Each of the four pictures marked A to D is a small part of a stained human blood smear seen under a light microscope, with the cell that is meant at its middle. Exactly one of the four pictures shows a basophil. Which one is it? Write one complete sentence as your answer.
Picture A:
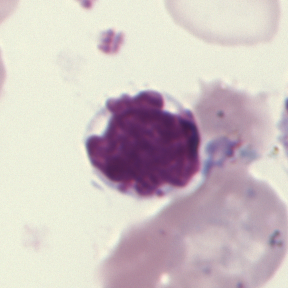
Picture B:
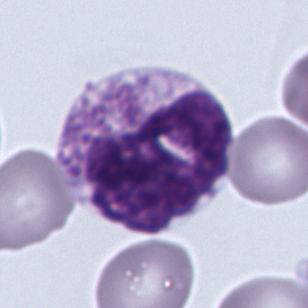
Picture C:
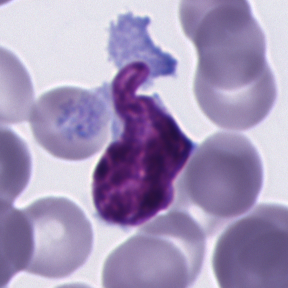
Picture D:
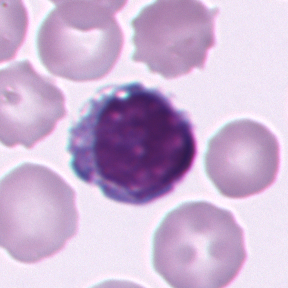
It is picture B that shows the basophil.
